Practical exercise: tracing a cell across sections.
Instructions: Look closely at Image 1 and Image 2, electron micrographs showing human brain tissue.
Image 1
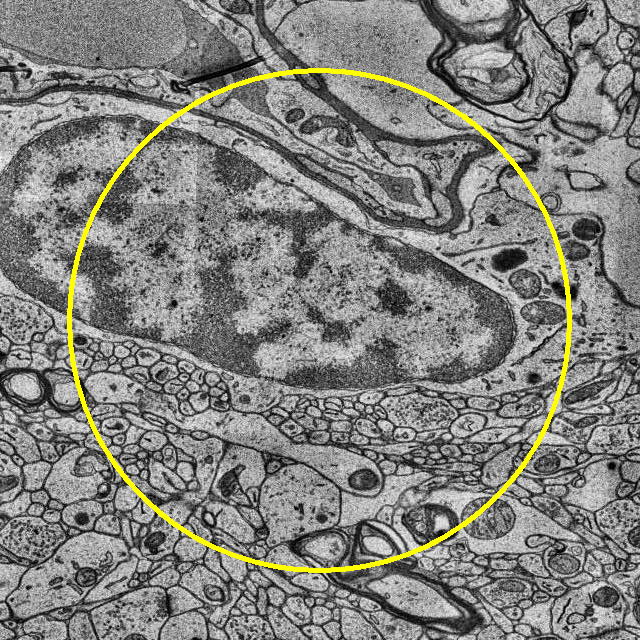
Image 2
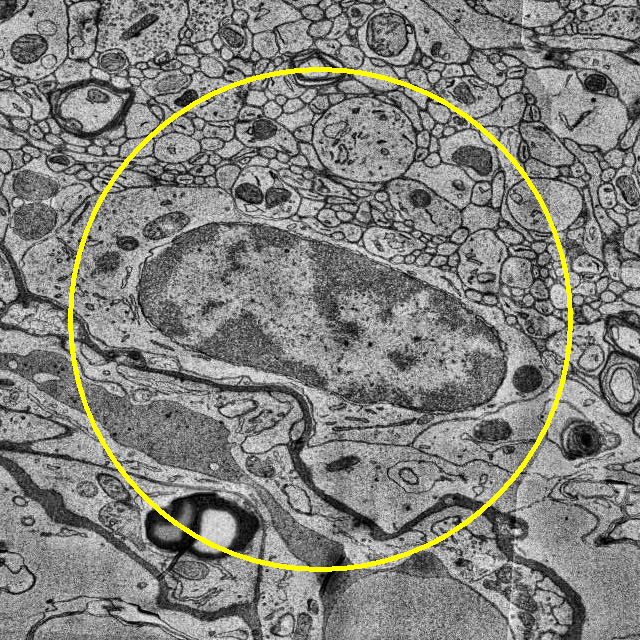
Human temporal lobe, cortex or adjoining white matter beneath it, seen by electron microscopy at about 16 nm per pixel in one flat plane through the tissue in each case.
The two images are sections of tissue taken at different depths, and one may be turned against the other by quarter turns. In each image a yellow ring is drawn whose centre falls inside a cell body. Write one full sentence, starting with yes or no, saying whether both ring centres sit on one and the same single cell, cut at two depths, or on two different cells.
Yes, both rings identify a single, shared cell.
